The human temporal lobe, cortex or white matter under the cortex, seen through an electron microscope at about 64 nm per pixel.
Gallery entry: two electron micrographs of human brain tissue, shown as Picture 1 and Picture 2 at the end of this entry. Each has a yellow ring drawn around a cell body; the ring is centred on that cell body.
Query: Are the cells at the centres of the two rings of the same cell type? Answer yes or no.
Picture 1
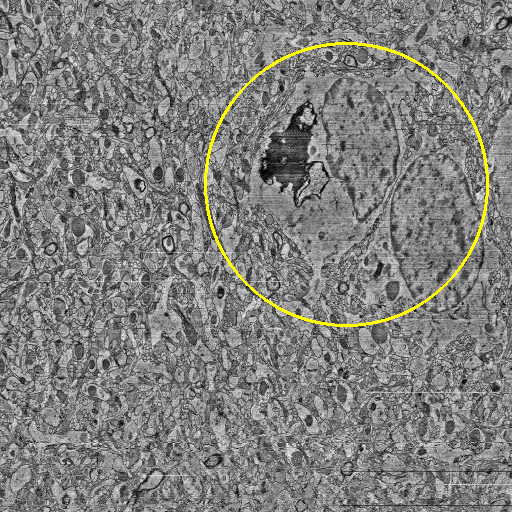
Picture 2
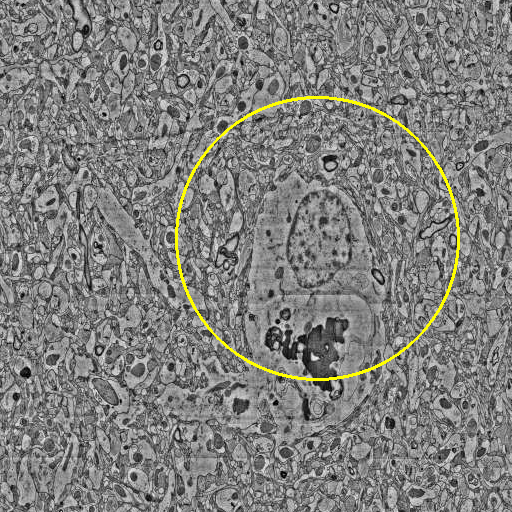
yes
